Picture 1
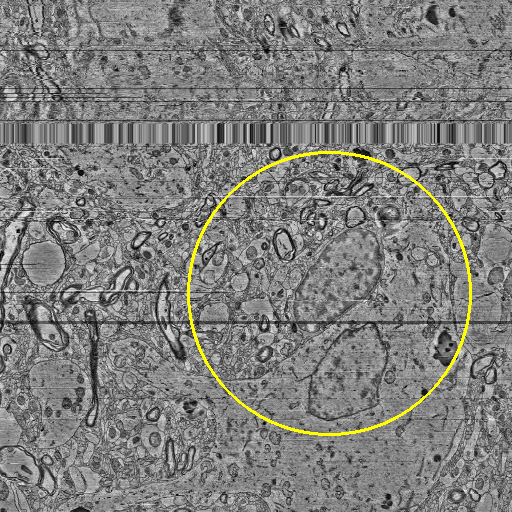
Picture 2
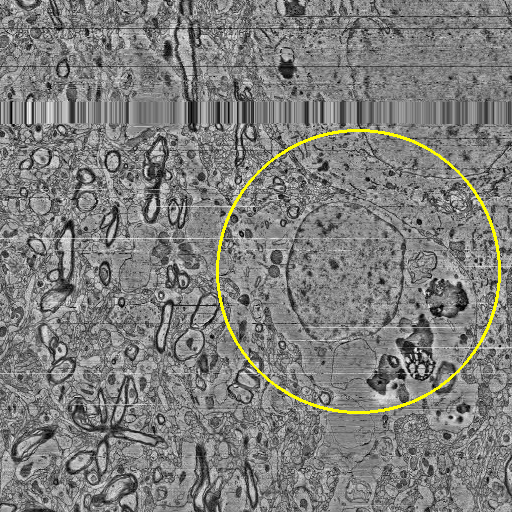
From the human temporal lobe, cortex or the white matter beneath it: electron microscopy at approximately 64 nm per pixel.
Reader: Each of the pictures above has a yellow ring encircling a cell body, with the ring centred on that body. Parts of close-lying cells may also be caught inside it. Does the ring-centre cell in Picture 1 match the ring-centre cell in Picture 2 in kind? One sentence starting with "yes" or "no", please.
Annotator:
No, Picture 1 and Picture 2 show ring-centre cells of two kinds.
